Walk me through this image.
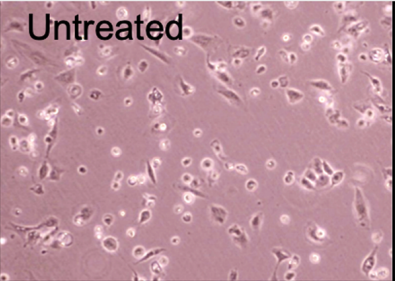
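This phase contrast view shows a sparse layer of cultured cells with signs of cell injury. Many cells are small and rounded, with bright refractile rims, and they lie scattered with wide empty spaces between them. Only a minority remain flattened or elongated with short processes, and some rounded cells sit in small clusters.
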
